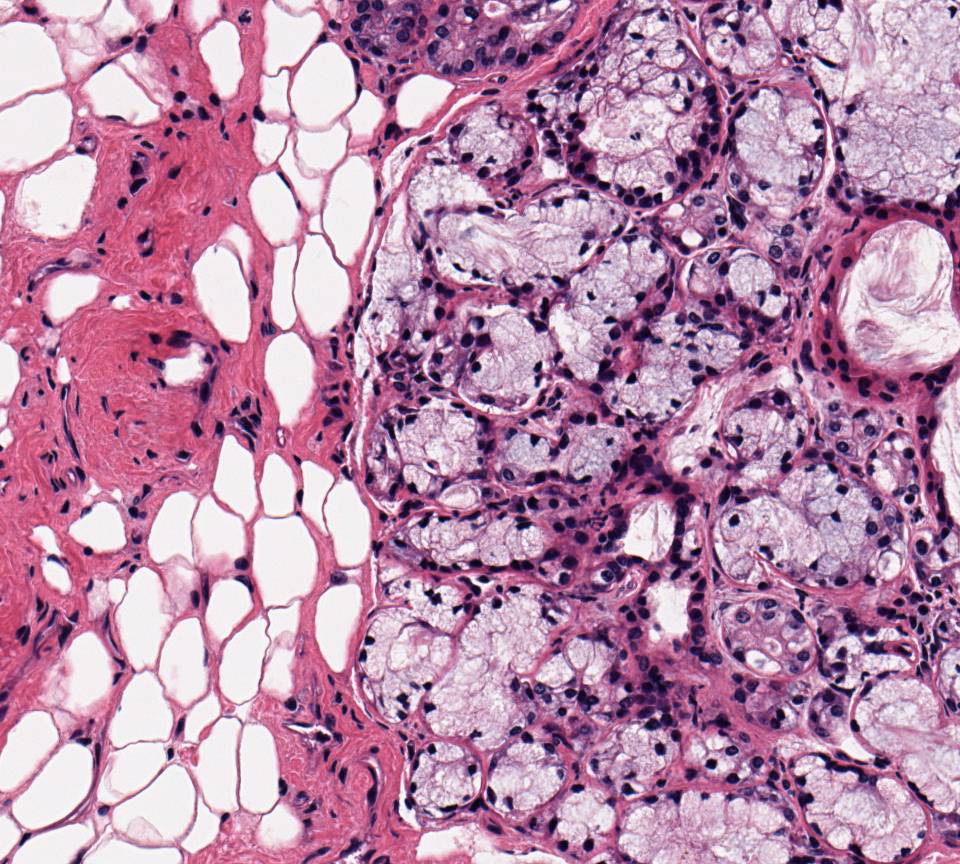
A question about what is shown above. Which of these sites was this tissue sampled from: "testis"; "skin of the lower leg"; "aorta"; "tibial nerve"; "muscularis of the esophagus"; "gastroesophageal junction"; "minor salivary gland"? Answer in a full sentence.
The site this tissue was sampled from is the minor salivary gland.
